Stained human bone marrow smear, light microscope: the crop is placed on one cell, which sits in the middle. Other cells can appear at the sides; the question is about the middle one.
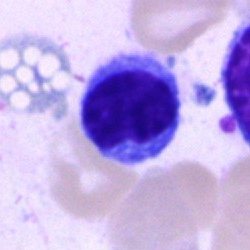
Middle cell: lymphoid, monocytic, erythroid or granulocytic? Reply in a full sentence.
Belonging to the lymphoid lineage is the cell positioned in the middle.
